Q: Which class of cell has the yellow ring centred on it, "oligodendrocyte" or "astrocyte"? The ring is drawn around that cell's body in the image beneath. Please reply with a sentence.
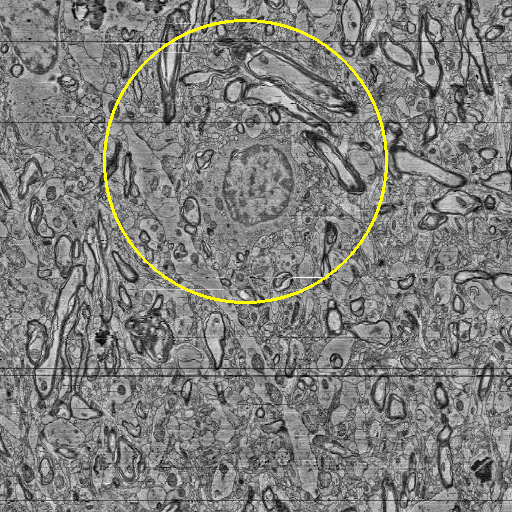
It is centred on an oligodendrocyte.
